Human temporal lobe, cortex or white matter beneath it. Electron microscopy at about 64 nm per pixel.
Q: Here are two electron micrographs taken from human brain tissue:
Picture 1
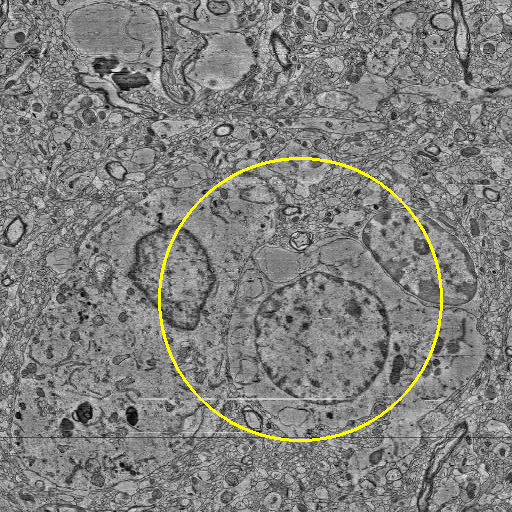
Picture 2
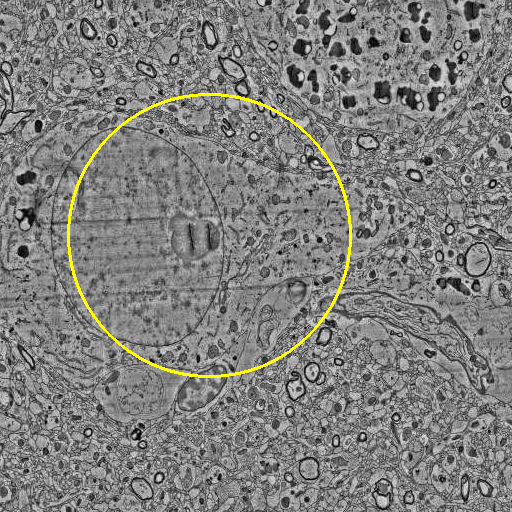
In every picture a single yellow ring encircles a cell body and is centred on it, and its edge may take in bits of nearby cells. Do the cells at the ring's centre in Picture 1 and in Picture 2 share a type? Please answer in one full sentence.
No, the cells at the ring's centre in Picture 1 and Picture 2 are of two types.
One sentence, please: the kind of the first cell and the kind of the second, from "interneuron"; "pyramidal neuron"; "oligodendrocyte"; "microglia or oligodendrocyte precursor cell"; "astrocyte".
The ring in the first picture surrounds an astrocyte, and the ring in the second surrounds a pyramidal neuron.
